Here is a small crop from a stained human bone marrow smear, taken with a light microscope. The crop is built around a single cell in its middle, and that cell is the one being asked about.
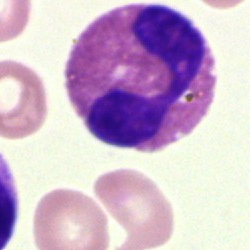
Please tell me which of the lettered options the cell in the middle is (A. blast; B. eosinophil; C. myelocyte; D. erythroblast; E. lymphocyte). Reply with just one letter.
B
